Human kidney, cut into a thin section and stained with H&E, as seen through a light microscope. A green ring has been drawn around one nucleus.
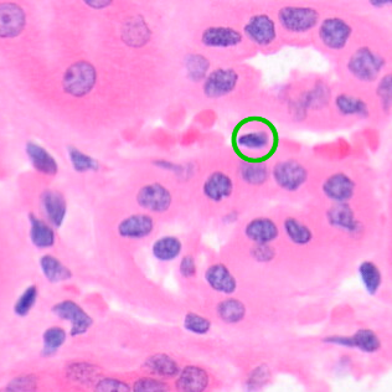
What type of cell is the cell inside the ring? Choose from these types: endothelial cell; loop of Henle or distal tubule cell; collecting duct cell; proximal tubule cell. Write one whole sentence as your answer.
Microscopically, the cell inside the ring is categorized as an endothelial cell.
